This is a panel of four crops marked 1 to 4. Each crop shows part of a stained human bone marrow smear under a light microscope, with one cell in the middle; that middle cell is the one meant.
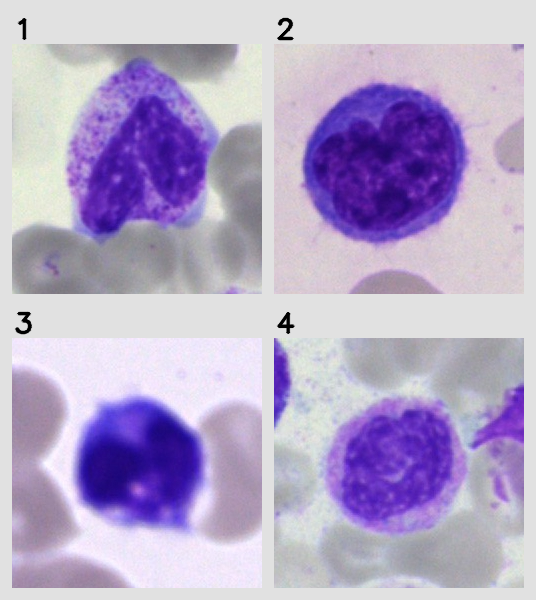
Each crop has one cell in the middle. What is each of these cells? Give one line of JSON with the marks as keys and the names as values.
{"1": "band neutrophil", "2": "monocyte", "3": "monocyte", "4": "segmented neutrophil"}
